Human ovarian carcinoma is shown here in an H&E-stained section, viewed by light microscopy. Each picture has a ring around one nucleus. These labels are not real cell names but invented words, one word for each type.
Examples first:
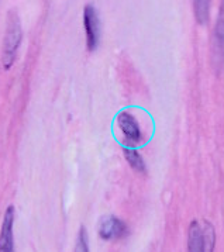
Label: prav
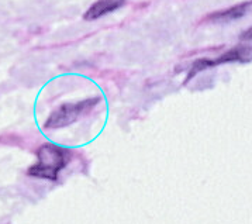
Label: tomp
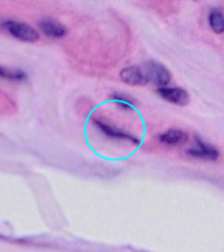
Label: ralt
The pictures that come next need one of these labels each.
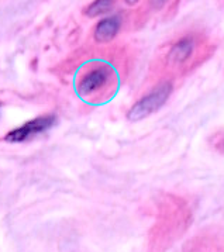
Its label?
prav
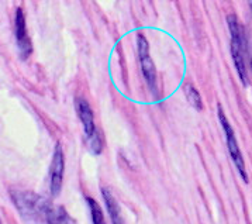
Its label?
tomp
